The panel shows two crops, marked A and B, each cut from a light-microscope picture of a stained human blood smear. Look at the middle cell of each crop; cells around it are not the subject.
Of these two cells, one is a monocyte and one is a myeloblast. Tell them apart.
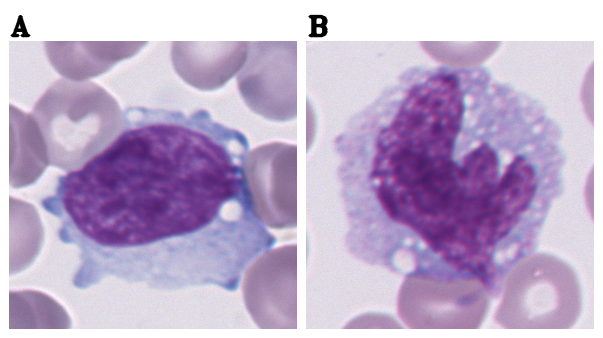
A: myeloblast
B: monocyte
